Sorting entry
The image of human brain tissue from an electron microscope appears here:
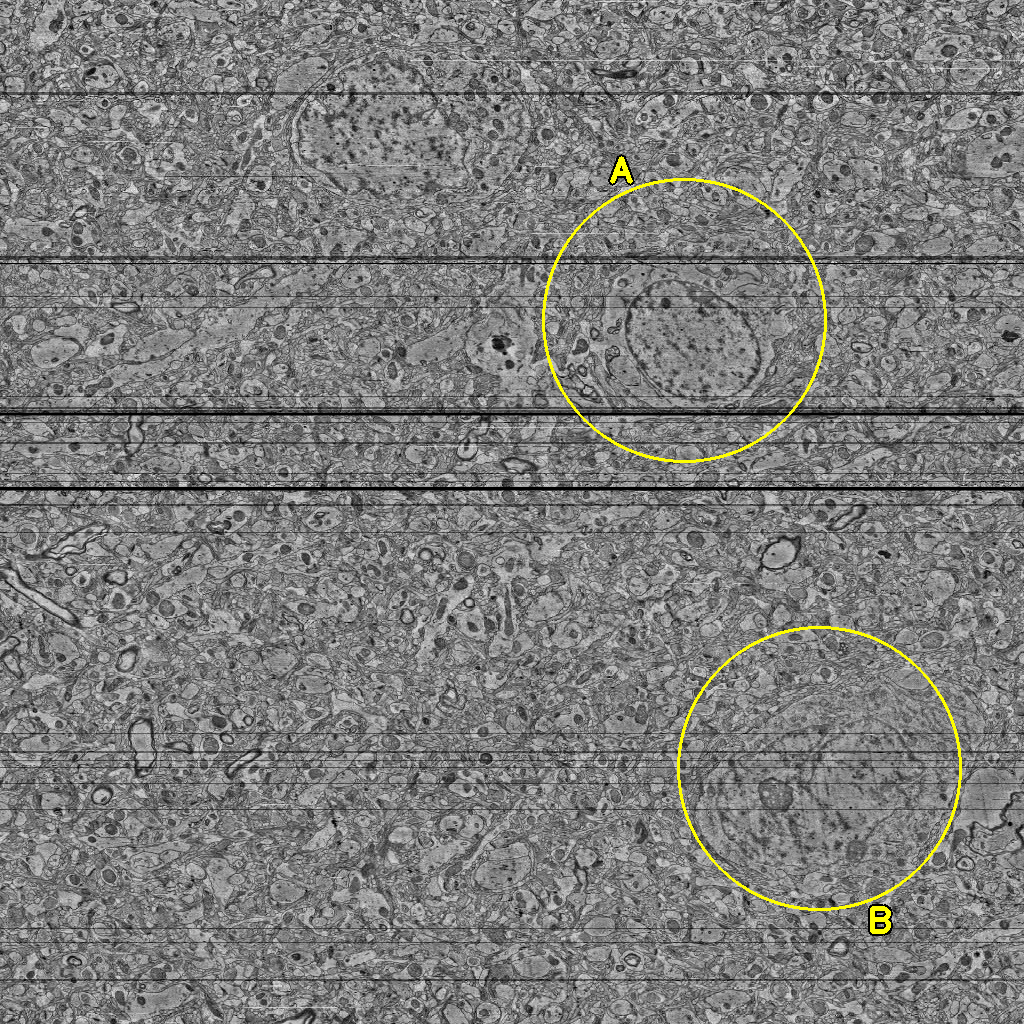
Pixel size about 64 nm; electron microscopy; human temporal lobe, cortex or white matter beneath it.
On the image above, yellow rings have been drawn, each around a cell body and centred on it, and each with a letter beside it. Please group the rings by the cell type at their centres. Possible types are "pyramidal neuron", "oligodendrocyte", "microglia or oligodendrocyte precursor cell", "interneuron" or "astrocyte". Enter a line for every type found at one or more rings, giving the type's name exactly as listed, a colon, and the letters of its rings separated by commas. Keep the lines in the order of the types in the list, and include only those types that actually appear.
interneuron: B
astrocyte: A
